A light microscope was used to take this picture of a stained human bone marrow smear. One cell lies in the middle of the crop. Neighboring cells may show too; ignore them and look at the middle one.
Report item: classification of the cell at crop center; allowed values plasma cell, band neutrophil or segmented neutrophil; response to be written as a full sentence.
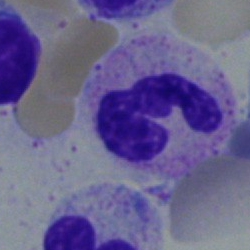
In this smear crop, the middle cell is a band neutrophil.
